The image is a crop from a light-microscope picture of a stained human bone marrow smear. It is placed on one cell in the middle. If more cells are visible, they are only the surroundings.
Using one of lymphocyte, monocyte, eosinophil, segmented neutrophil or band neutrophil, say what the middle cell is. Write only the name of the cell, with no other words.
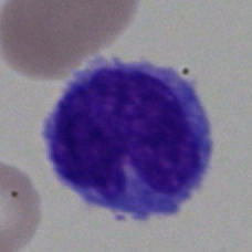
monocyte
